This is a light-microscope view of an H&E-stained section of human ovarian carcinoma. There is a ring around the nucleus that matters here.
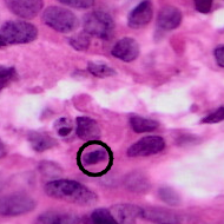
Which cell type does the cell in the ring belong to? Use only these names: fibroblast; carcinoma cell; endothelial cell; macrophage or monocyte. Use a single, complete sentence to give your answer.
Labelled by cell type, the cell in the ring is an endothelial cell.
